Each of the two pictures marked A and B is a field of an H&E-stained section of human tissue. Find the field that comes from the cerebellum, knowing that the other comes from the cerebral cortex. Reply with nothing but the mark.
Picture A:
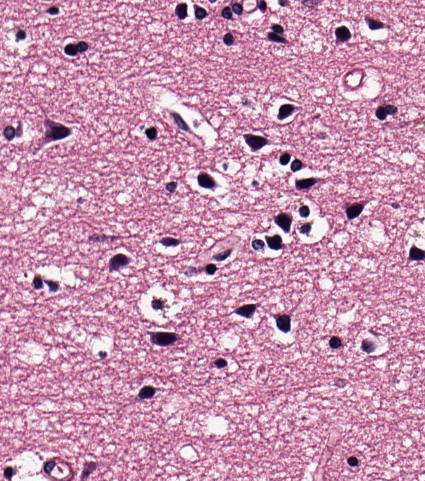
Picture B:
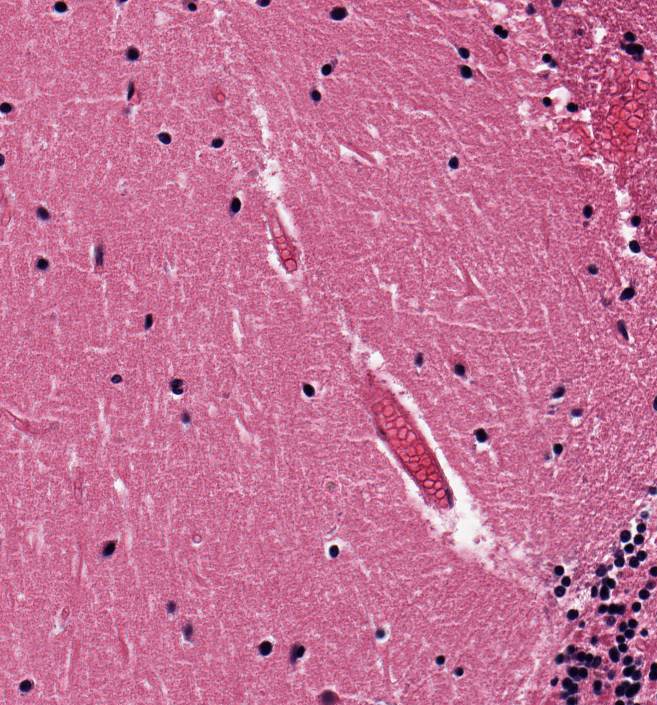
B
